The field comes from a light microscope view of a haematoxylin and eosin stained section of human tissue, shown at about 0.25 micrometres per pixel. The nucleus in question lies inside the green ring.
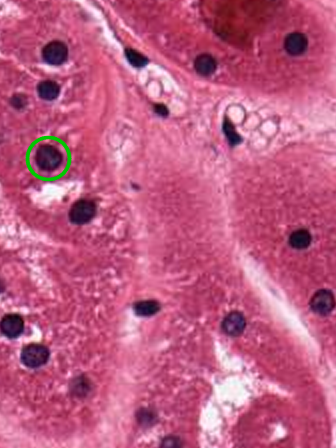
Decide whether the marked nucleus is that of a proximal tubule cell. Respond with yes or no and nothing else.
yes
